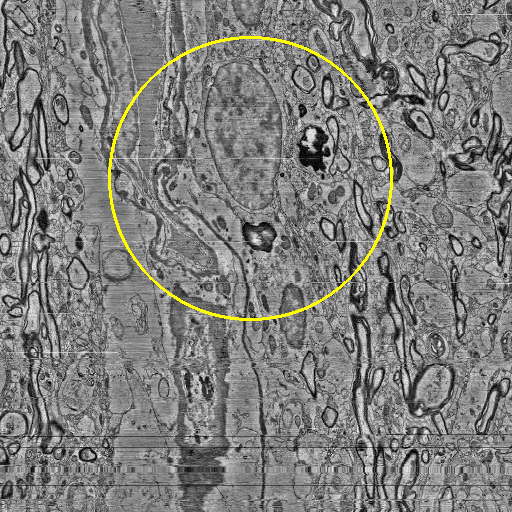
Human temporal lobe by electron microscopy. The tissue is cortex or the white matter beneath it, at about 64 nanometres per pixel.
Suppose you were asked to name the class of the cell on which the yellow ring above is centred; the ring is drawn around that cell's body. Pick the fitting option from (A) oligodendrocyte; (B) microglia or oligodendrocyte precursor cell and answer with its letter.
A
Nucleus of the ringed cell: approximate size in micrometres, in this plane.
The nucleus is approximately 10 micrometres long but only about 5 wide, clearly longer than it is wide in this plane.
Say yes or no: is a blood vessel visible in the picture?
Yes, one shows.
